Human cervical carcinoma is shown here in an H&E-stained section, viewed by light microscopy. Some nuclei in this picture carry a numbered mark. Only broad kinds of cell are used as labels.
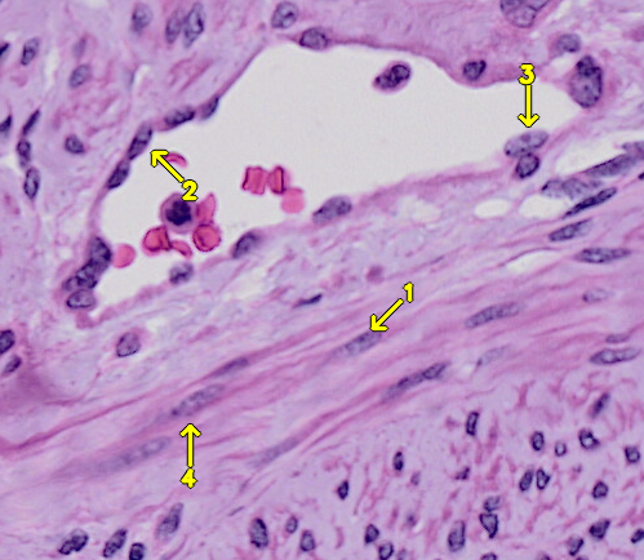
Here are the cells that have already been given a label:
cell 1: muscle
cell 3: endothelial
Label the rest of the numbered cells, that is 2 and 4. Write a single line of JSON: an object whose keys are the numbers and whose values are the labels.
{"2": "endothelial", "4": "muscle"}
